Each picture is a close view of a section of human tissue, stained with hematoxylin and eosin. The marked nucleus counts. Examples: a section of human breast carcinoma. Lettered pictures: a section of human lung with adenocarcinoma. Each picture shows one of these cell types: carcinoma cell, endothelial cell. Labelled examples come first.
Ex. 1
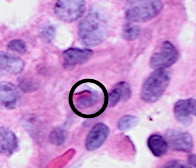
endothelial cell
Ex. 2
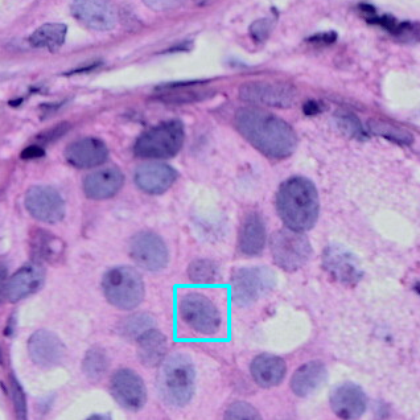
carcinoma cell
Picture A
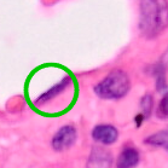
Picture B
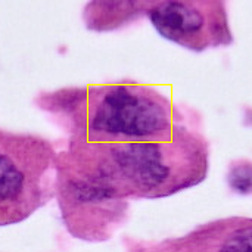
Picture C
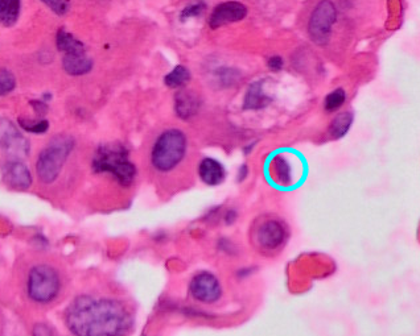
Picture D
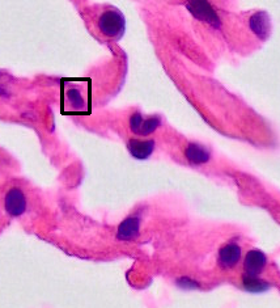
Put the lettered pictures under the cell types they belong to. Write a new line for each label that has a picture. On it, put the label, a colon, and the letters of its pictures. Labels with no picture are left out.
carcinoma cell: B
endothelial cell: A, C, D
